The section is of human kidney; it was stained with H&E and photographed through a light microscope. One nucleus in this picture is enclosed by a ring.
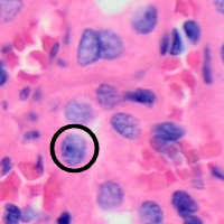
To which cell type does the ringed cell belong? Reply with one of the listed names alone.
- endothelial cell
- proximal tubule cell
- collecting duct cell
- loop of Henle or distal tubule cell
loop of Henle or distal tubule cell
